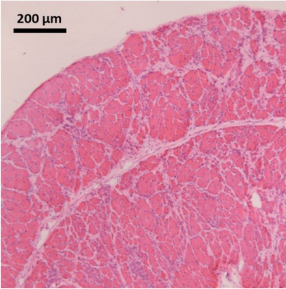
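The pink-staining muscle fibres vary greatly in size and shape rather than forming a uniform polygonal mosaic. Pale, widened spaces of non-muscle tissue separate many of the fibres, and a pale band of connective tissue runs across the field. Small purple nuclei are scattered between the fibres and gather in denser clusters in places, consistent with inflammatory infiltrates.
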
